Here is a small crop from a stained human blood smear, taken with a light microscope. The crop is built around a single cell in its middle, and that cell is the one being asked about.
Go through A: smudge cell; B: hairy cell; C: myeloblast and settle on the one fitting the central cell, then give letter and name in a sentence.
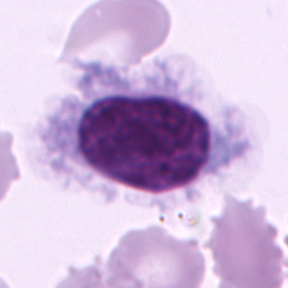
The cell at the centre, correctly named in option B, is a hairy cell.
